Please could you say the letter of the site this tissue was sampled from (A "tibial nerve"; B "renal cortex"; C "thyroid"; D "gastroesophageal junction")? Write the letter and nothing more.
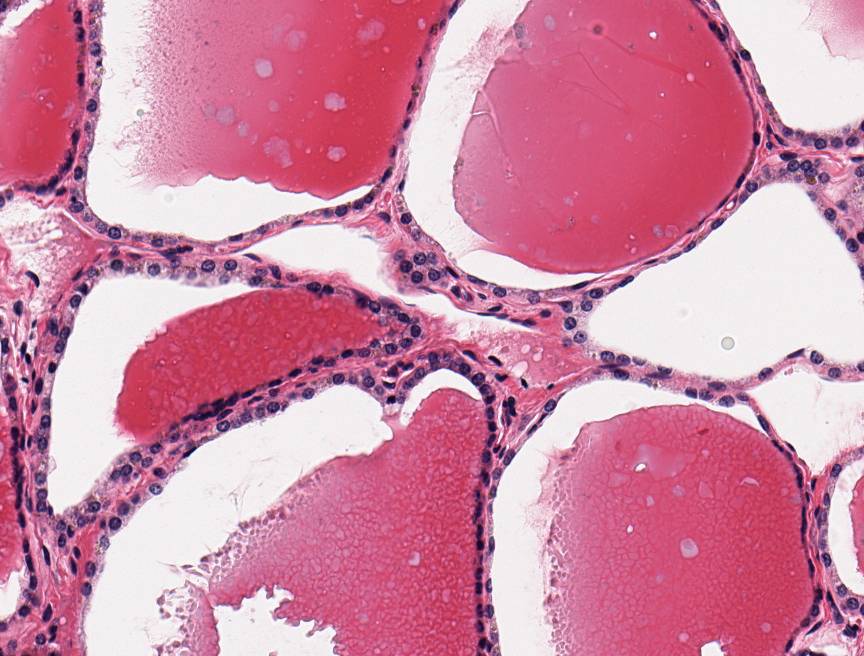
C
